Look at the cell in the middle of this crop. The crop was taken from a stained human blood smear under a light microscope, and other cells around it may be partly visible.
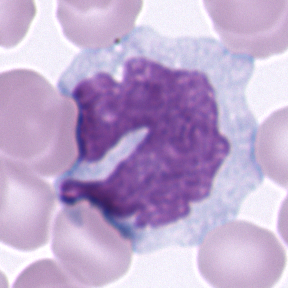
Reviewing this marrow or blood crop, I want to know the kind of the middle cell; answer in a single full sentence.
The cell that lies at the centre of the crop is a monocyte.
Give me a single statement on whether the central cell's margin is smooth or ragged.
The cell is outlined unevenly, the border being ragged or extended into projections.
